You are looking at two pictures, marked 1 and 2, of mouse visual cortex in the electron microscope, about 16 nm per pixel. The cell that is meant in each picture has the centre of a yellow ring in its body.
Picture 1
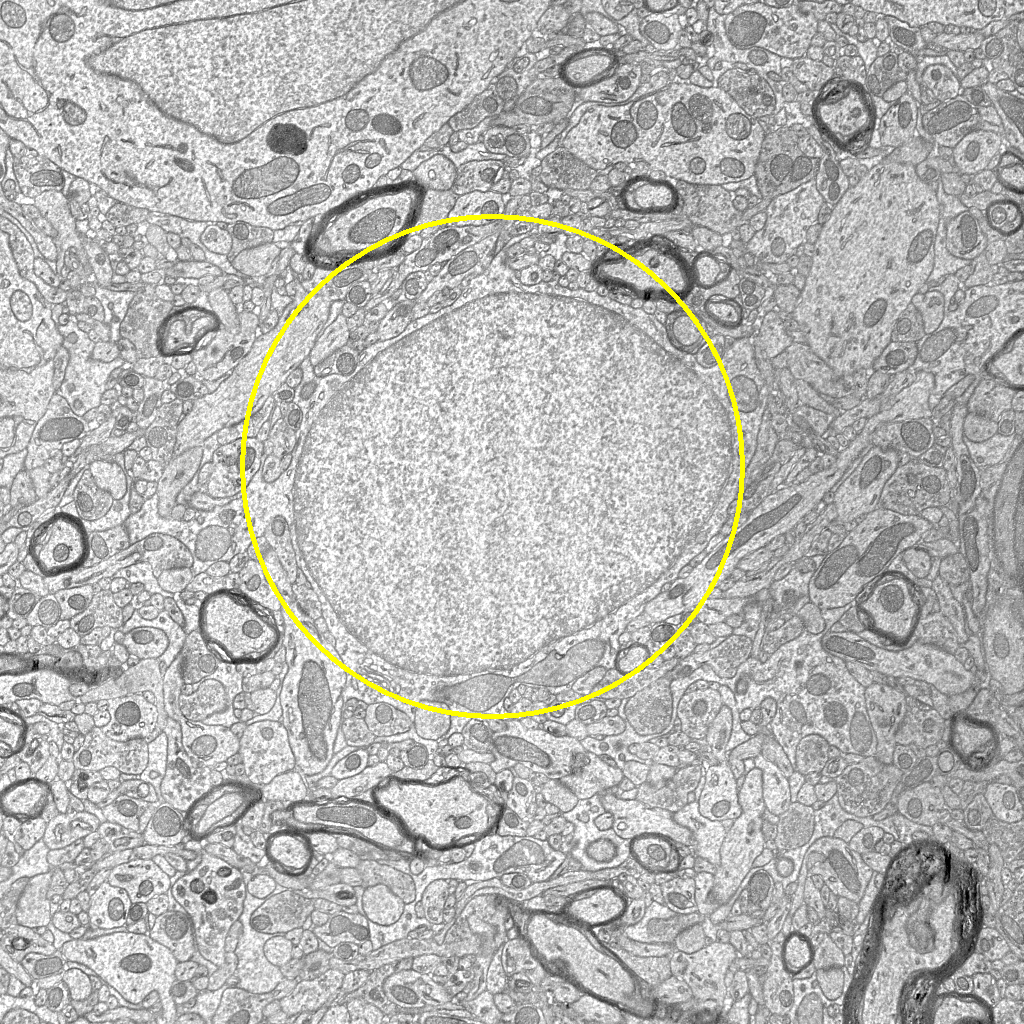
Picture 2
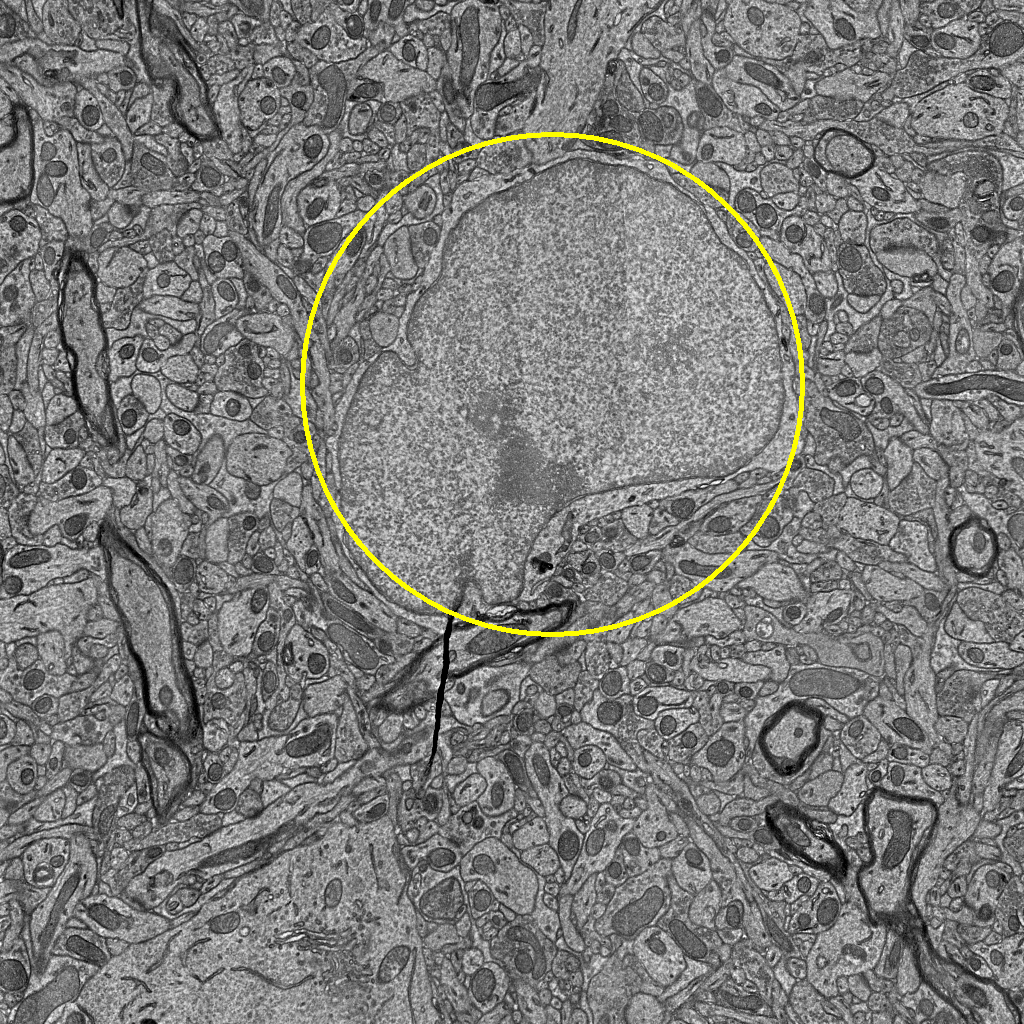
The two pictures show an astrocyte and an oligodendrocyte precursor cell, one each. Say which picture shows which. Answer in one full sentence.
The cell in picture 1 is an astrocyte, and the one in picture 2 is an oligodendrocyte precursor cell.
